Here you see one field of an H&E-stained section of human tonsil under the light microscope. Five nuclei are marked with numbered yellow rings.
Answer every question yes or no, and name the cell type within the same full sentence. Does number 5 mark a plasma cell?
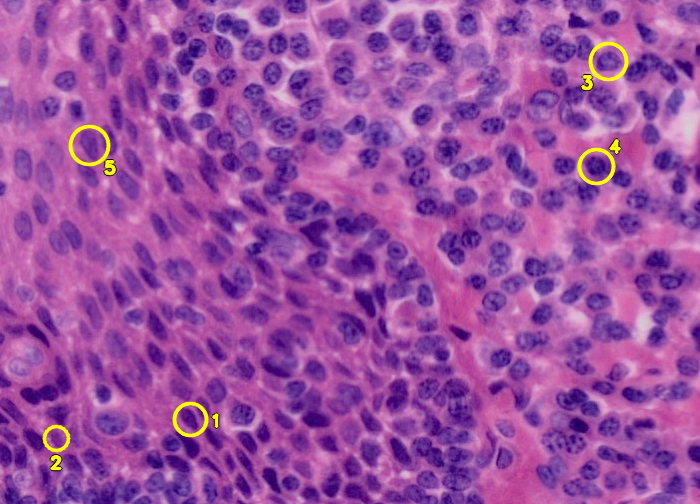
No, cell 5 is classified as a squamous epithelial cell rather than a plasma cell.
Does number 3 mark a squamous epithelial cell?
No, cell 3 is not a squamous epithelial cell: it is a plasma cell.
